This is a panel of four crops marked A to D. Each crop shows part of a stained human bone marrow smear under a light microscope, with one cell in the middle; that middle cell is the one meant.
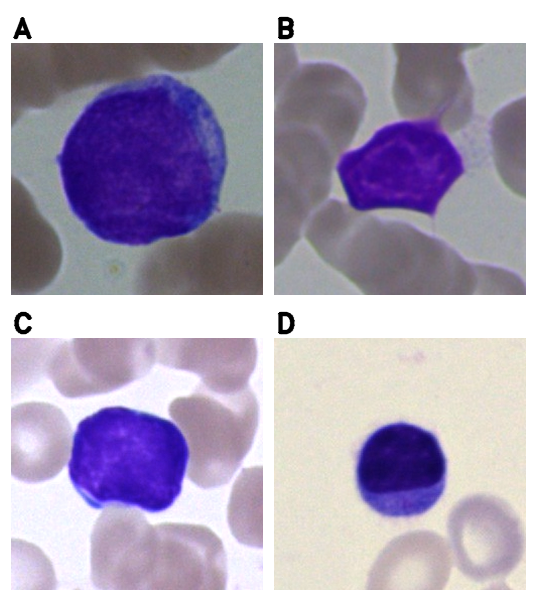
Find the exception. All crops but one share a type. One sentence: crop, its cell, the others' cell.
Of these crops, only crop A is a blast; the others are lymphocytes.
